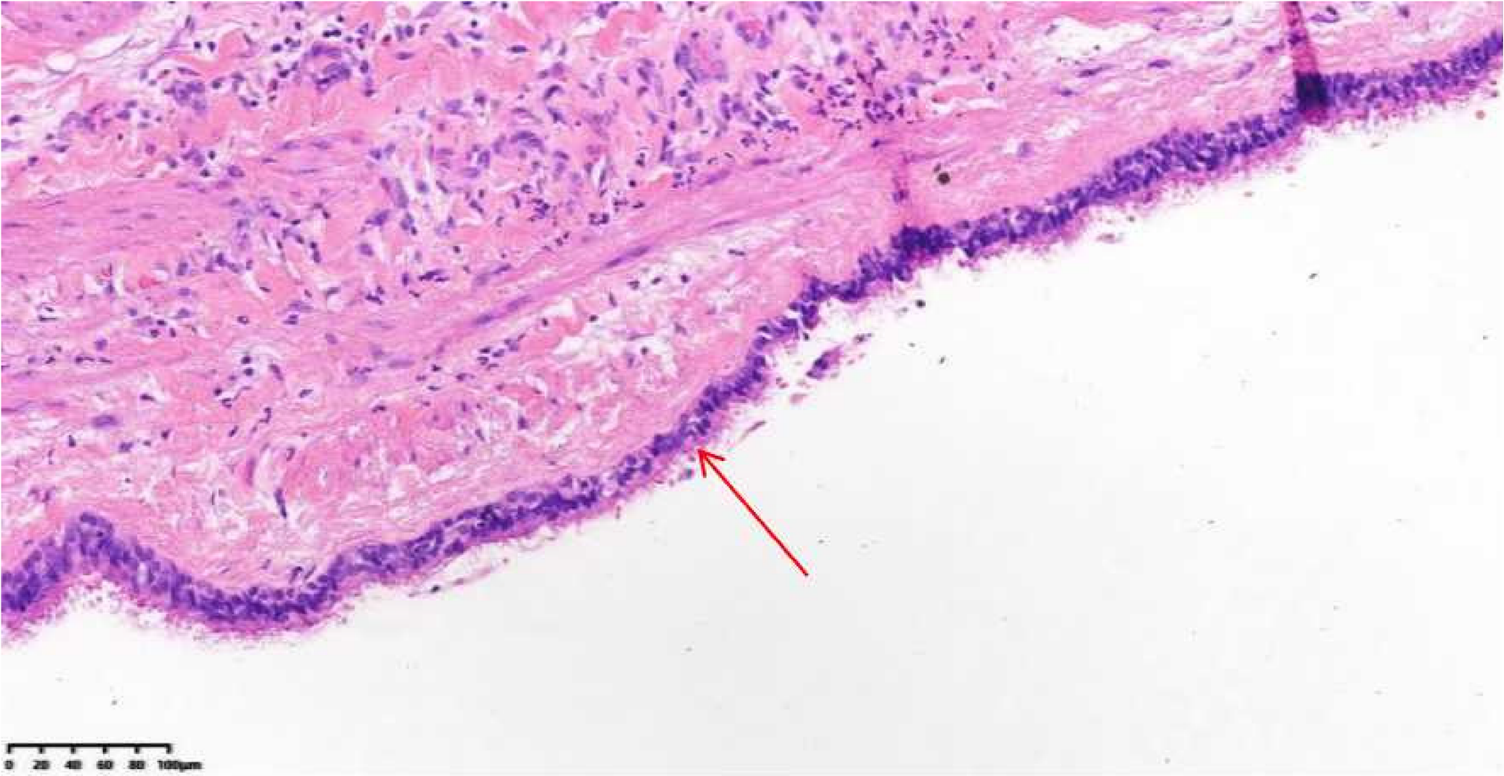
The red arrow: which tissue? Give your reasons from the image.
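Pseudostratified ciliated columnar epithelium. A single continuous layer of cells lines the free surface facing the empty space. Dark purple nuclei sit at several different heights within the layer. A fine fringe of hair-like projections lies on the free surface of the layer.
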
